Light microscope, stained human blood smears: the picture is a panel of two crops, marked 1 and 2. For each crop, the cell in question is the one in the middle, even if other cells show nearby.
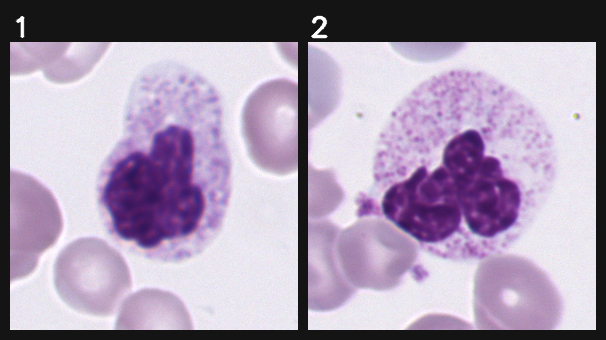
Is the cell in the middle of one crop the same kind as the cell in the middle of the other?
yes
